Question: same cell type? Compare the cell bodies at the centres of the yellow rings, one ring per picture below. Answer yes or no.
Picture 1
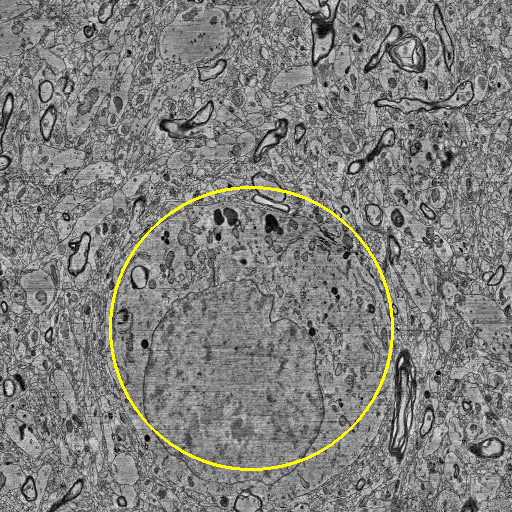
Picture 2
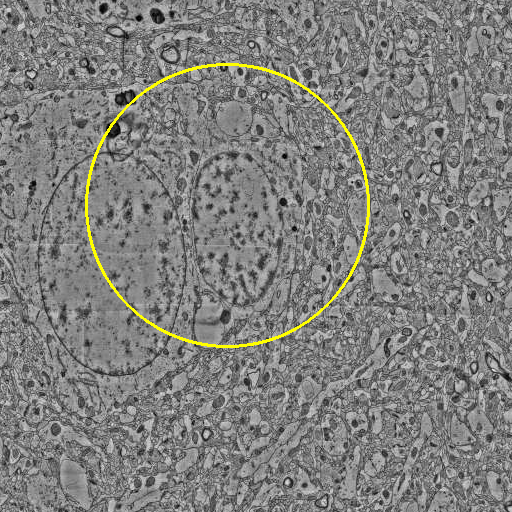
no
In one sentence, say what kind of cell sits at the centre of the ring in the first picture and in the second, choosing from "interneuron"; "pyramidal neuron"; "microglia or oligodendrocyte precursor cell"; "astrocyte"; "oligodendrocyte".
The first picture's ringed cell is a pyramidal neuron, while the second picture's is an interneuron.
